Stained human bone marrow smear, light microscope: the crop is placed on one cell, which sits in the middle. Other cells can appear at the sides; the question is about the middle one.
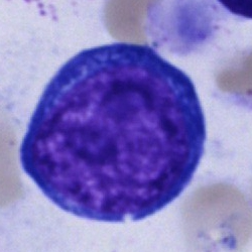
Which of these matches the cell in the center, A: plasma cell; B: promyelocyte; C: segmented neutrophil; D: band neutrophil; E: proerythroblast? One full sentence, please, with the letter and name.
The cell right in the middle is a proerythroblast, so option E is the one.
